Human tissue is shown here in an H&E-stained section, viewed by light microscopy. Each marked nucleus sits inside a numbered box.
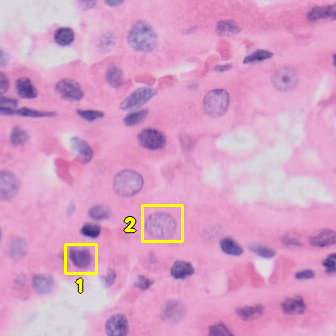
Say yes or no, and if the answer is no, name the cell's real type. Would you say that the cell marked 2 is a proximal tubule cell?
Yes.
